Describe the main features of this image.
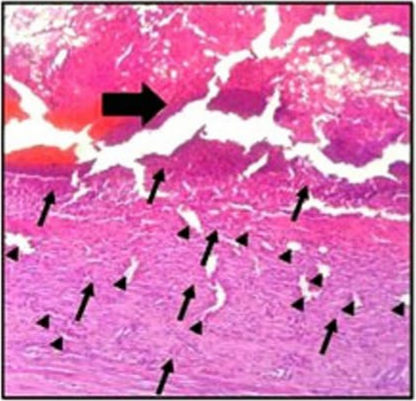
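This is a healing skin wound whose surface is still covered by a crusty scab: a thick, cracked layer of deep pink and red material broken into fragments. Beneath the scab lies a dense purple band of tissue packed with small dark nuclei, where inflammatory cells have infiltrated. Deeper down, the tissue is crowded with cells and small open vessel spaces scattered between them. No continuous covering layer of epithelium can be made out over the surface.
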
